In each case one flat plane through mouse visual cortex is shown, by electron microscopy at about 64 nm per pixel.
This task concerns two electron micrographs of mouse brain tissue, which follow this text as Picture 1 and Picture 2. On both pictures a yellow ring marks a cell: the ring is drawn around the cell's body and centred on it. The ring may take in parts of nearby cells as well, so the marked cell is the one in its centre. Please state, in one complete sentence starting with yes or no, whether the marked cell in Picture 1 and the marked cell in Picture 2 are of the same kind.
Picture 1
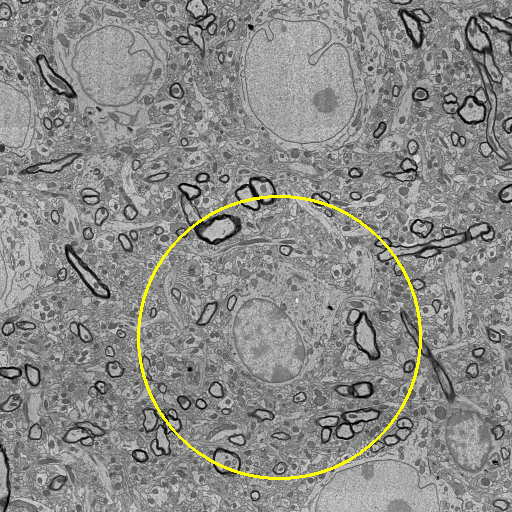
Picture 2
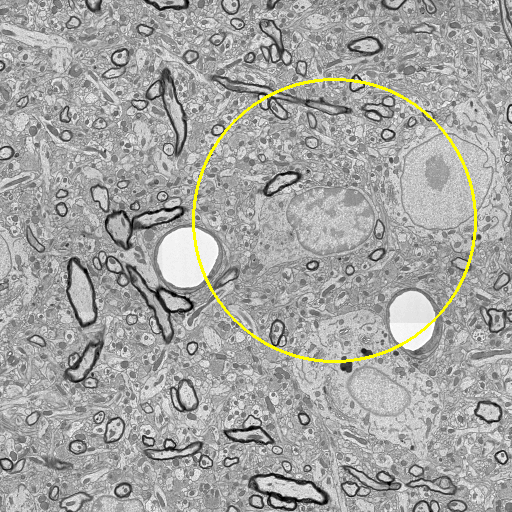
Yes, the marked cells in both pictures are of the same kind.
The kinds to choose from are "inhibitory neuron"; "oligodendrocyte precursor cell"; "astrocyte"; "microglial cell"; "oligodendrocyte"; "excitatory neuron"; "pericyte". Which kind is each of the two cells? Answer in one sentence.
Each of the ringed cells, first and second, is an oligodendrocyte.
